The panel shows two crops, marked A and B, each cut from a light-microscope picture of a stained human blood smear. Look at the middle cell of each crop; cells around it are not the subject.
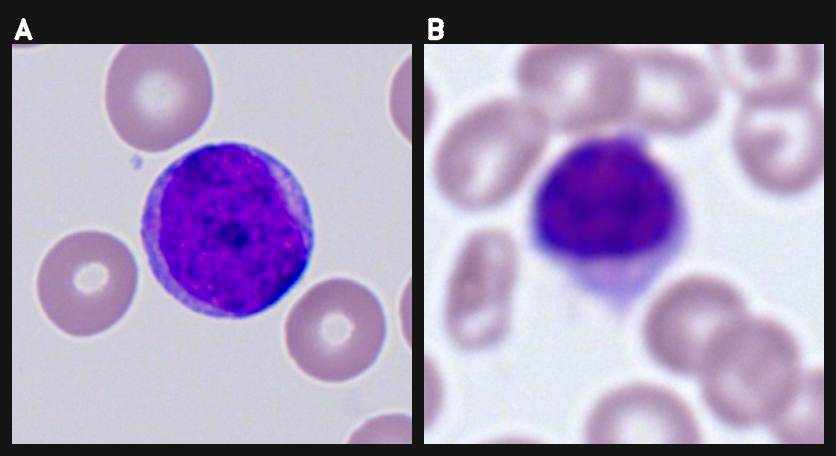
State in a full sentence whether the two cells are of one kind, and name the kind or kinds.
No, a myeloblast occupies the middle of crop A, and a lymphocyte the middle of crop B.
